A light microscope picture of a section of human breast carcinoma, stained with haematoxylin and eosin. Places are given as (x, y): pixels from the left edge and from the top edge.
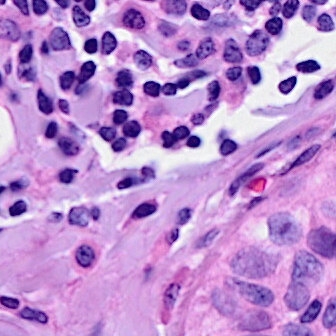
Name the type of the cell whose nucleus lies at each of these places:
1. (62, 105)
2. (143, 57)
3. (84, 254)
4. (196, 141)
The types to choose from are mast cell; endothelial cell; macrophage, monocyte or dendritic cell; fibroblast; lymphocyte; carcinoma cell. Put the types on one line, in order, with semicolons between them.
lymphocyte; lymphocyte; mast cell; lymphocyte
